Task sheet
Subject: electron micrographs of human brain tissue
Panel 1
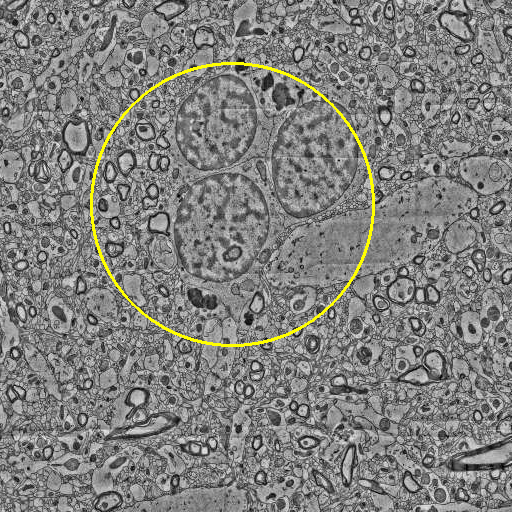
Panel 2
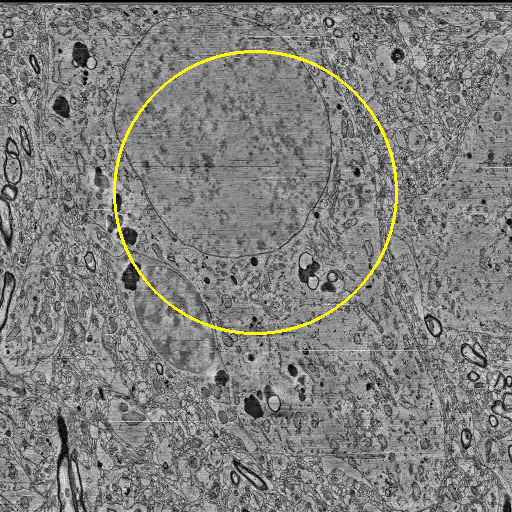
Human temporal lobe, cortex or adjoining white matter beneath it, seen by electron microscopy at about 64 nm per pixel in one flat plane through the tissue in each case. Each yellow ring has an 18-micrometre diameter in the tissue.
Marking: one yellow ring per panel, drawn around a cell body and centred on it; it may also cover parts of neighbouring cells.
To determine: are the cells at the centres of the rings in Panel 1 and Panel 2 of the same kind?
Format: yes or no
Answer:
no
